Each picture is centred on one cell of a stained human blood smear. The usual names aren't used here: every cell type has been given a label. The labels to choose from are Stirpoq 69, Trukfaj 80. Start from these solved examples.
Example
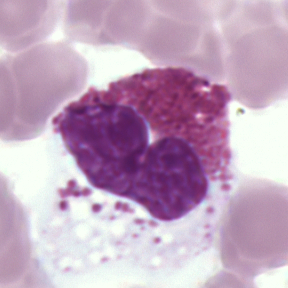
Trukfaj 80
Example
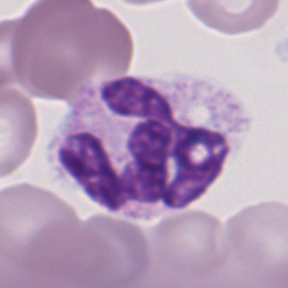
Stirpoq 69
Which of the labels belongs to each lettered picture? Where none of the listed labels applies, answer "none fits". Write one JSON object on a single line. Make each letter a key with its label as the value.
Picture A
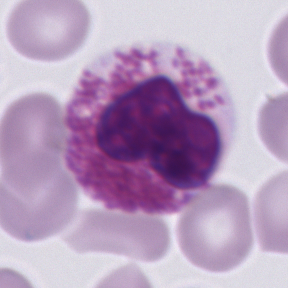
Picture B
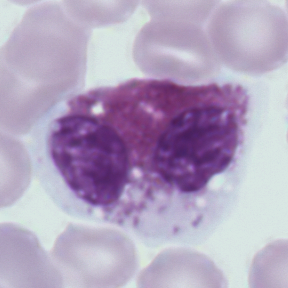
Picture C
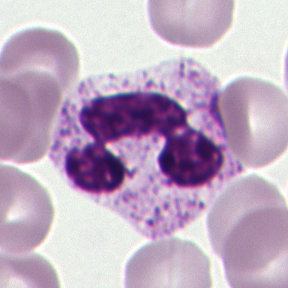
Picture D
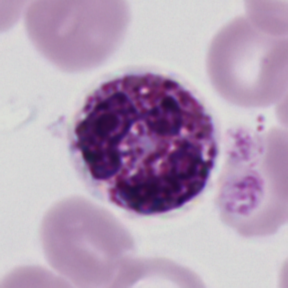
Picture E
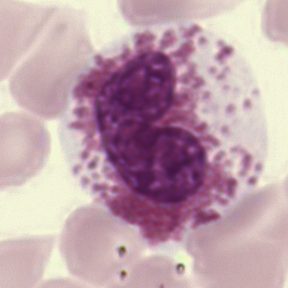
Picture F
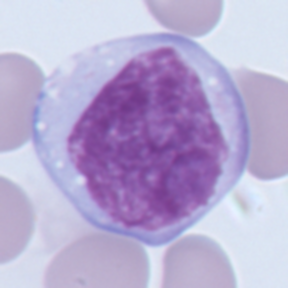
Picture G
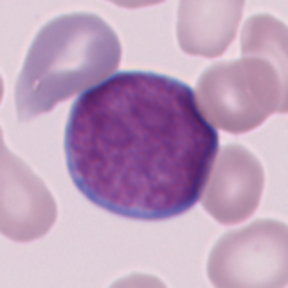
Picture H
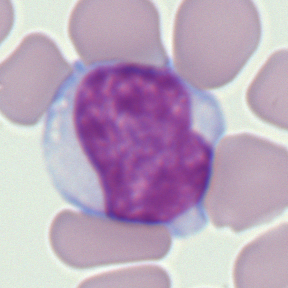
{"A": "Trukfaj 80", "B": "Trukfaj 80", "C": "Stirpoq 69", "D": "Trukfaj 80", "E": "Trukfaj 80", "F": "none fits", "G": "none fits", "H": "none fits"}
